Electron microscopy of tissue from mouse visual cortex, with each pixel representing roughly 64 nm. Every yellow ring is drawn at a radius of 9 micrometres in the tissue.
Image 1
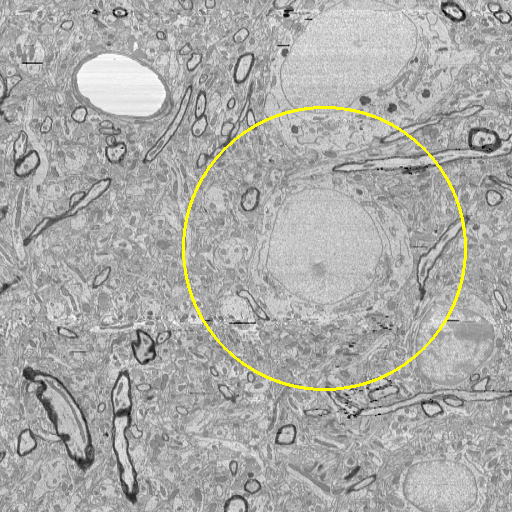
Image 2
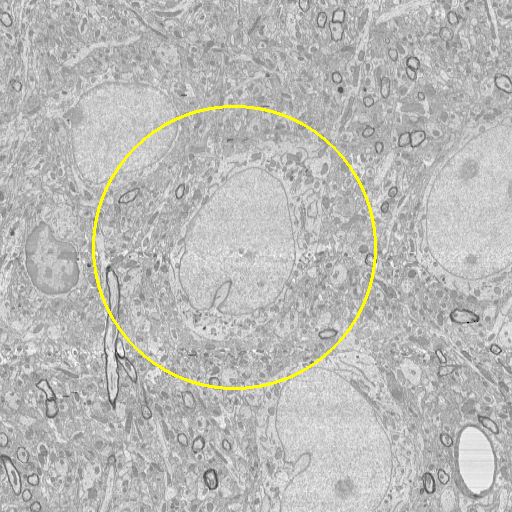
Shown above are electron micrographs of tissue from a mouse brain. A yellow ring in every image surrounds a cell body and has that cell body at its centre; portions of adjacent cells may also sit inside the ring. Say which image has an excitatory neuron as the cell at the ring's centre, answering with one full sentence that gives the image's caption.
The image whose ring is centred on the requested cell is Image 1.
